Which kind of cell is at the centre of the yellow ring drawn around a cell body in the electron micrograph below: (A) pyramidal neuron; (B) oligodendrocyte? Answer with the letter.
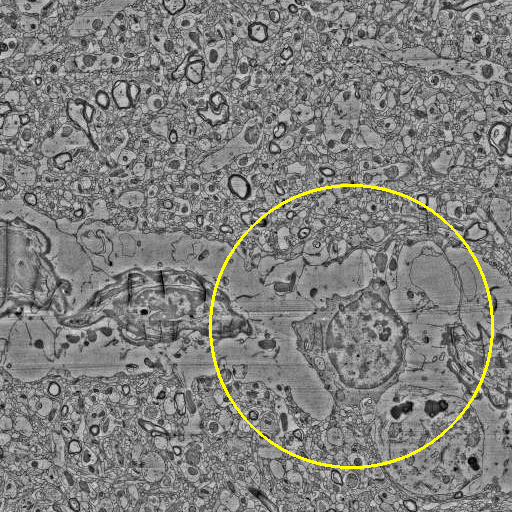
B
